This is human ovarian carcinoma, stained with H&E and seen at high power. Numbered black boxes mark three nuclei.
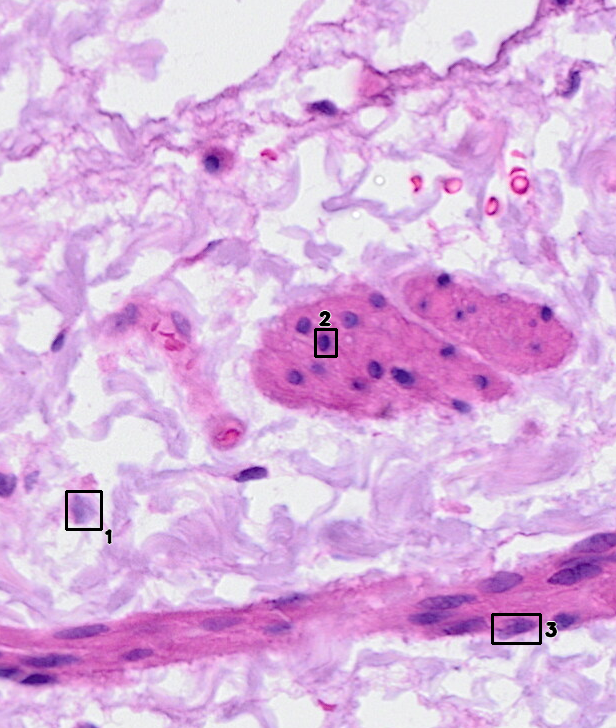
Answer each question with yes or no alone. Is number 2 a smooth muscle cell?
yes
